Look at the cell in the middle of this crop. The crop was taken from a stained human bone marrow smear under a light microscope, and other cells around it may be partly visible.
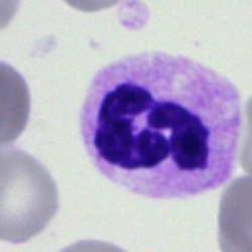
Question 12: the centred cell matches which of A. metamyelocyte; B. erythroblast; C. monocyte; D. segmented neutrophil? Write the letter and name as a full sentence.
Option D correctly names the cell in the middle as a segmented neutrophil.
